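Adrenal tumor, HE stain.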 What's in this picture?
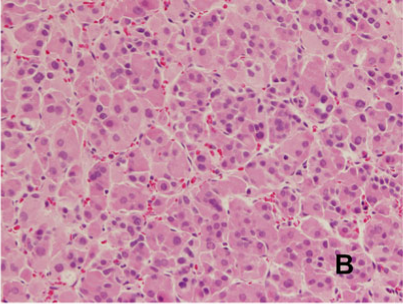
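A tumour of atypical eosinophilic cells grows in solid sheets and small alveolar nests separated by thin, delicate septa carrying capillaries with red blood cells. The cells are polygonal with abundant pink, finely granular cytoplasm and round nuclei that vary moderately in size and darkness. No area of necrosis is seen.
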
